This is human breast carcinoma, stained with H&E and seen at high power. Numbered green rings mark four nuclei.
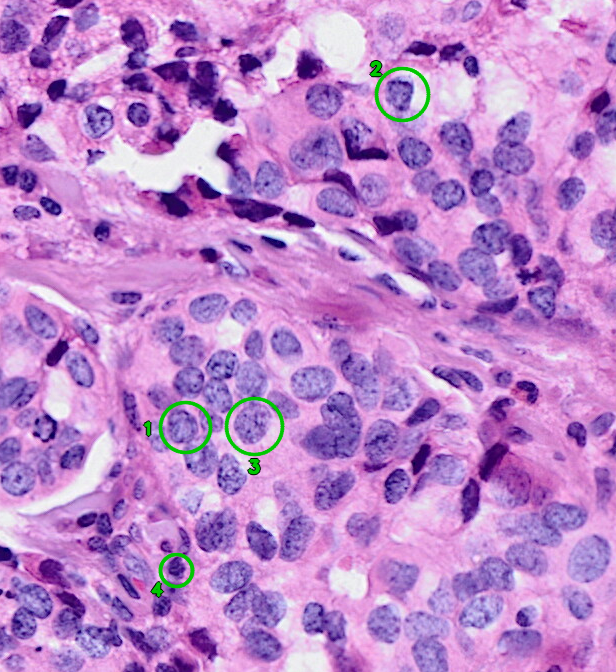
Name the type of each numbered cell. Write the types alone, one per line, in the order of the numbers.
carcinoma cell
carcinoma cell
carcinoma cell
lymphocyte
